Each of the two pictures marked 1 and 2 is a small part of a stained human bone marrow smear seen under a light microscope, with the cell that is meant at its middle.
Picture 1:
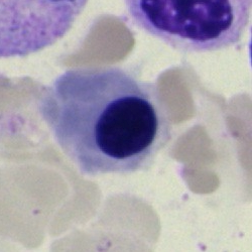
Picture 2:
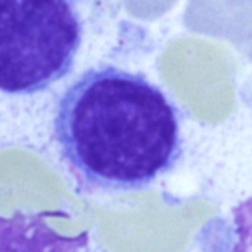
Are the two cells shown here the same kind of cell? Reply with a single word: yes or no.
no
